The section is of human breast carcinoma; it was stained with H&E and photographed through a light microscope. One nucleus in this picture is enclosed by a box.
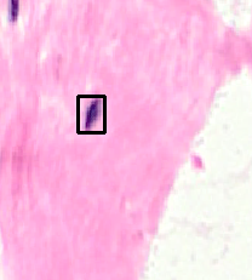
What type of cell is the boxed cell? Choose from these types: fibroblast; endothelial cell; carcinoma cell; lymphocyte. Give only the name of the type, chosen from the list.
fibroblast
